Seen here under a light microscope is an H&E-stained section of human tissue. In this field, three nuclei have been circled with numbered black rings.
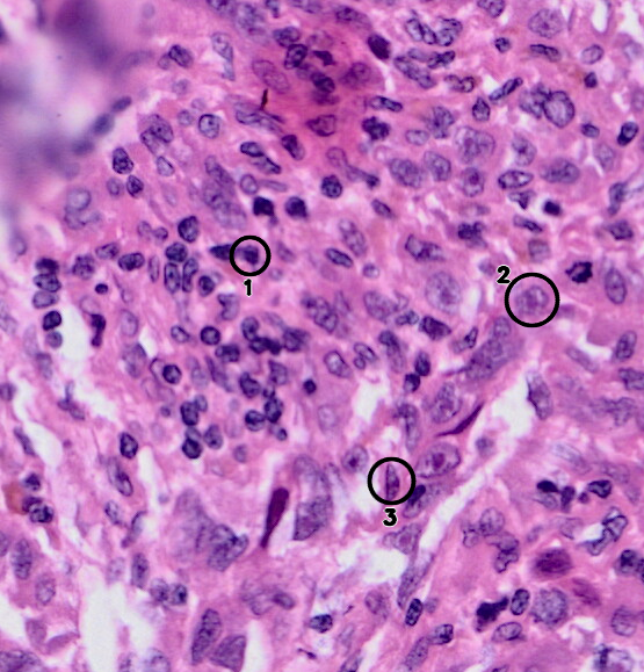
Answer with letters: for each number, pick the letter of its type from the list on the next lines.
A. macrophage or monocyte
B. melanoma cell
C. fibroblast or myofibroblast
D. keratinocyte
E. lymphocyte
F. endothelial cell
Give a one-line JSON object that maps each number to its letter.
{"1": "E", "2": "B", "3": "B"}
